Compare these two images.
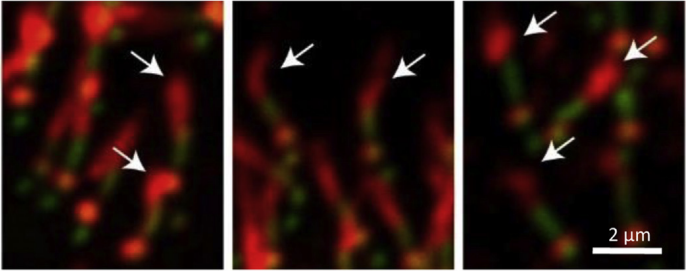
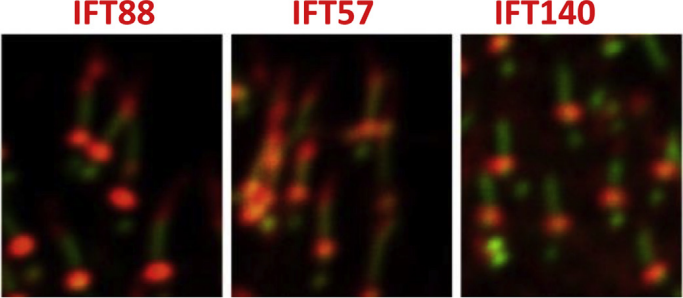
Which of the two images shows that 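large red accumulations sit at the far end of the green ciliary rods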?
the first image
